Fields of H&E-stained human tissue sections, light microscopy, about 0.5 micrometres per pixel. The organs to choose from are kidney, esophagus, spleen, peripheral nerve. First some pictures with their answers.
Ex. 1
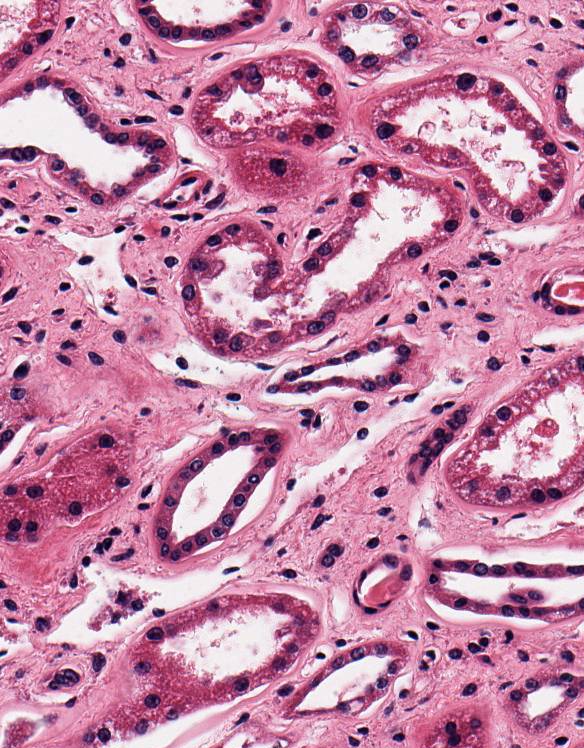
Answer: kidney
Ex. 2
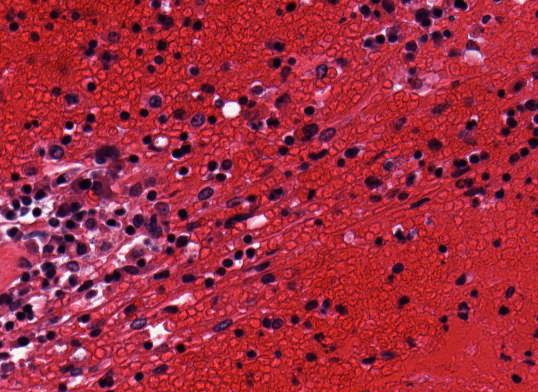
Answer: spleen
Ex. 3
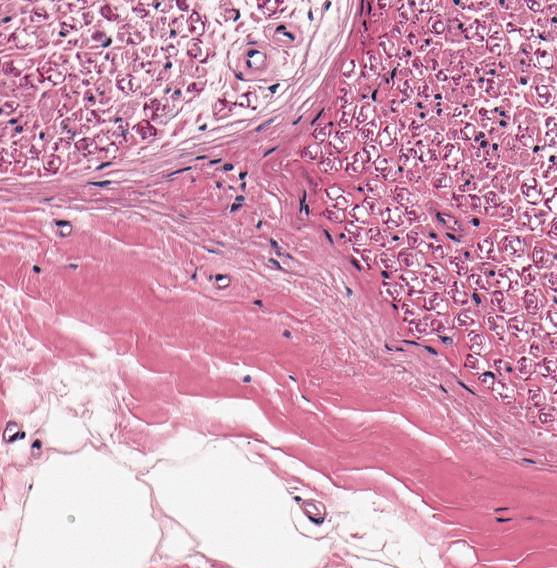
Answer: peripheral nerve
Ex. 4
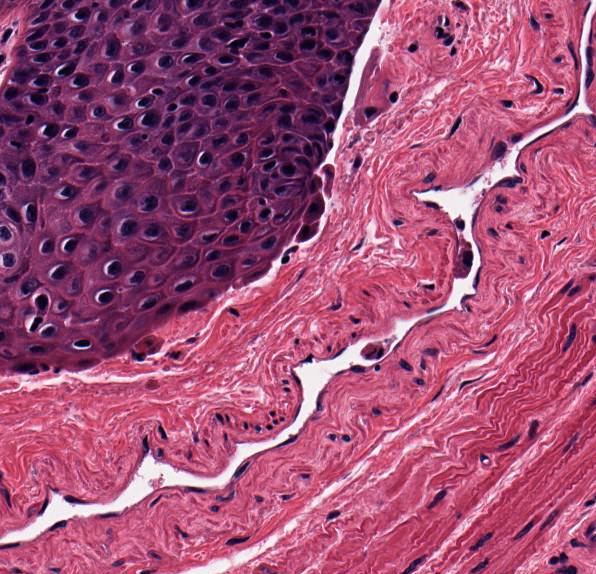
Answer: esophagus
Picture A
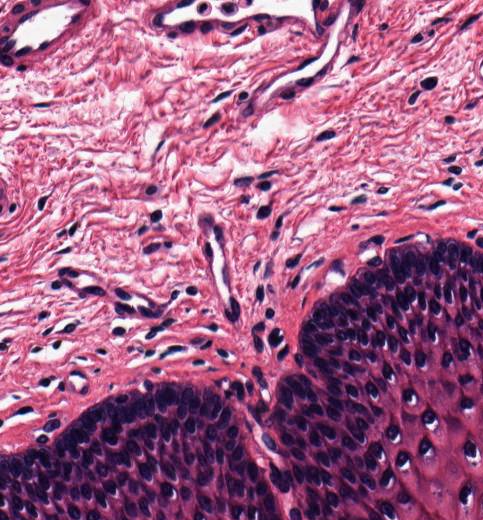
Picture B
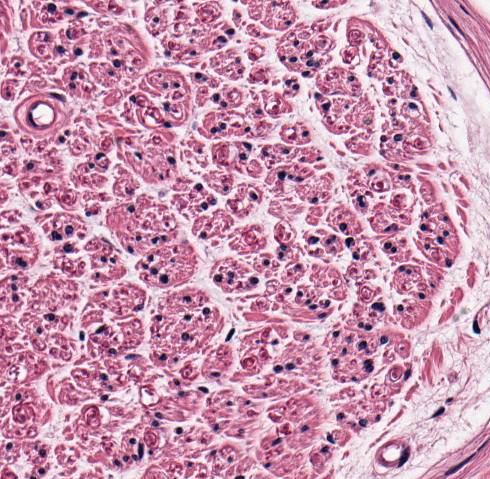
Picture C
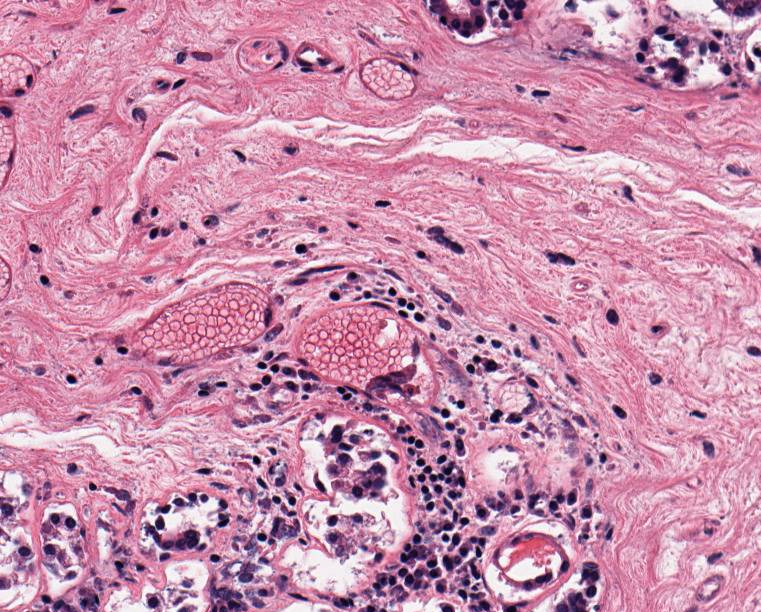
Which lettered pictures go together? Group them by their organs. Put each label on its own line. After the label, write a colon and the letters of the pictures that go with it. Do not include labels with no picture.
esophagus: A, C
peripheral nerve: B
